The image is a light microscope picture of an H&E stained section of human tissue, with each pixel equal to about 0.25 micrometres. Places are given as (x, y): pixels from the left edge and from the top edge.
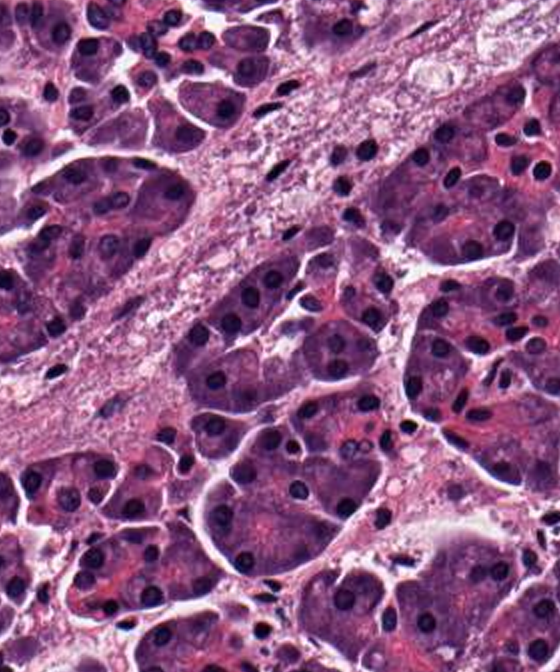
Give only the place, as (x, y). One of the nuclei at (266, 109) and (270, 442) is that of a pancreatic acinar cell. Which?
(270, 442)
